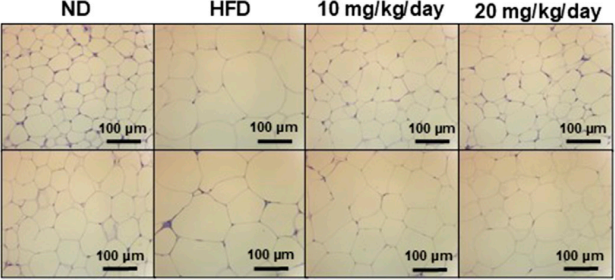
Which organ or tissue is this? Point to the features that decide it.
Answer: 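Large, rounded-polygonal cells with pale, empty-looking interiors fill every image. Only thin pink-purple rims separate neighbouring cells. Small dark purple nuclei sit squeezed at the cell edges. That points to this answer: white adipose tissues.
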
